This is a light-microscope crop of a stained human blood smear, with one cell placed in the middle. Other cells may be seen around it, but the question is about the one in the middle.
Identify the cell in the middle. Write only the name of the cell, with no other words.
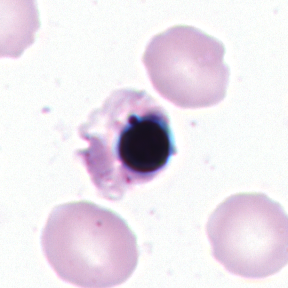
normoblast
